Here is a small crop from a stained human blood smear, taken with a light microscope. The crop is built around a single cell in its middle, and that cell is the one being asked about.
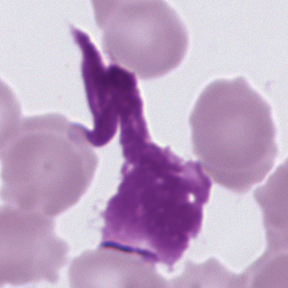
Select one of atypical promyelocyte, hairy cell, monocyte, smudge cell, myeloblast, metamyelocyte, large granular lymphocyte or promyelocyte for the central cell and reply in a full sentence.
Framed in the middle of the crop is a smudge cell.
